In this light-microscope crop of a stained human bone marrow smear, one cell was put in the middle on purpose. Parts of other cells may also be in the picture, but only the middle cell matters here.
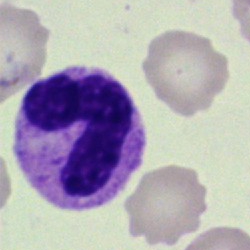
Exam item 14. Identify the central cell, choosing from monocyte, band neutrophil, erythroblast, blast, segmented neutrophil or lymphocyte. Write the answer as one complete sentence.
The cell found in the middle of this crop is a band neutrophil.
